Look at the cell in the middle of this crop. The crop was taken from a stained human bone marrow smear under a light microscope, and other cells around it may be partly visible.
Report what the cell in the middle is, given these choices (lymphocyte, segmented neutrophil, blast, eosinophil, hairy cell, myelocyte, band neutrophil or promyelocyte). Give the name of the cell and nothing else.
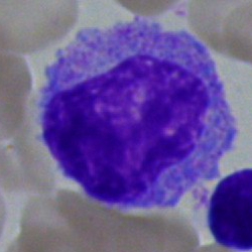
promyelocyte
